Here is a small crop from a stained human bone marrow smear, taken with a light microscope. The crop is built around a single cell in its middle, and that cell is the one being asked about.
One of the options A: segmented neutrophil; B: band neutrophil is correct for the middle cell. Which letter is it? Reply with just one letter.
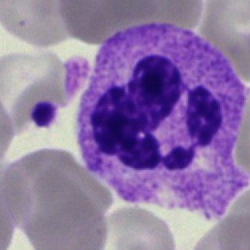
A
